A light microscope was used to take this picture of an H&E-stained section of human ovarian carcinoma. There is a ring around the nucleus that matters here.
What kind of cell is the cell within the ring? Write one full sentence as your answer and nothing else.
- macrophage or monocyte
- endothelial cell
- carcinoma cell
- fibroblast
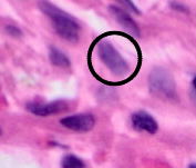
The identity of the cell within the ring: it is a fibroblast.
